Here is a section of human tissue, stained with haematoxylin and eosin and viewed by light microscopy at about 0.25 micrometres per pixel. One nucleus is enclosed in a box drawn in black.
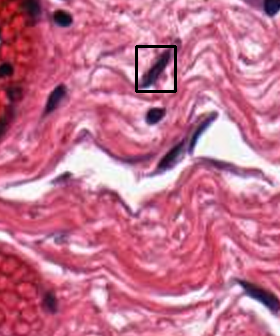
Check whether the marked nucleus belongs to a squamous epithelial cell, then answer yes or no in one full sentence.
No, the marked nucleus is to be assigned to a supporting cell, not to a squamous epithelial cell.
